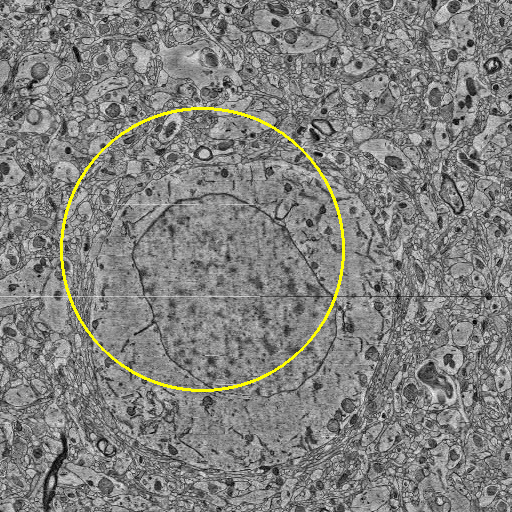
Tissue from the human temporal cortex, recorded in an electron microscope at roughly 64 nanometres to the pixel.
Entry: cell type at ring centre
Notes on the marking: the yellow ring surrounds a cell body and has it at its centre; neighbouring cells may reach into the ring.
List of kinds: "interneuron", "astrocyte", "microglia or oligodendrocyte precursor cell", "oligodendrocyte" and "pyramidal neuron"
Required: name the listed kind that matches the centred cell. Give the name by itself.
pyramidal neuron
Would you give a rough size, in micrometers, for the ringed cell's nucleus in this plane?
In this plane, about 14 micrometres in length and 11 in width.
